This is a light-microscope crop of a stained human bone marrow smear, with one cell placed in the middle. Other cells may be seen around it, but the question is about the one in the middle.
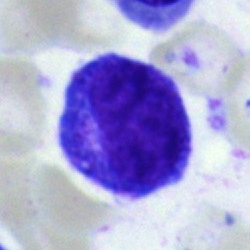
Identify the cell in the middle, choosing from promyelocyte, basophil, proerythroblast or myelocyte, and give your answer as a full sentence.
On this slide crop, the central cell is a promyelocyte.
